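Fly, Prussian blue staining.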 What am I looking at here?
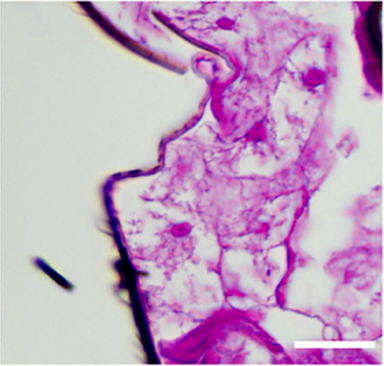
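Here the tissue beneath the dark cuticle is pale and lacy, with a fine pink network and a few small darker pink nuclei. No blue deposits are to be seen anywhere in the cells.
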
